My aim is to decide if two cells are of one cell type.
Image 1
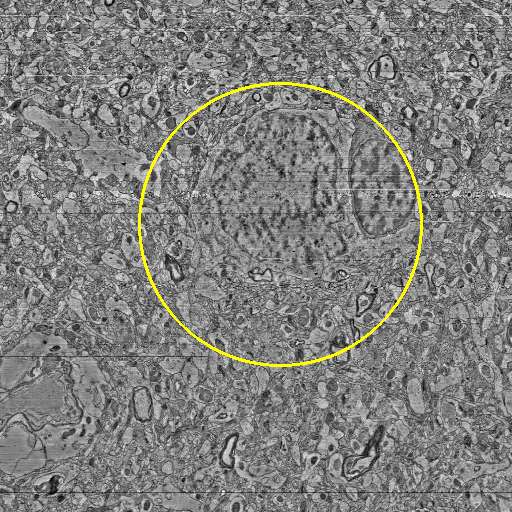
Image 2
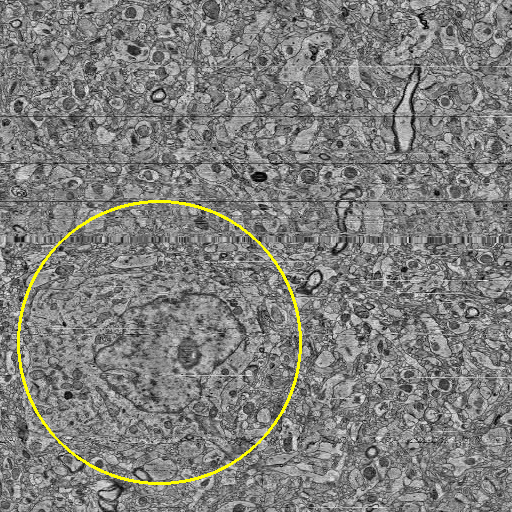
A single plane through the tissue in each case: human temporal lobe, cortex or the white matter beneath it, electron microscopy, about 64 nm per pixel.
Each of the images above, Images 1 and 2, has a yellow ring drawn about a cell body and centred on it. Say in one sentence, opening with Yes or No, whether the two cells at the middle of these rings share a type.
Yes, in Images 1 and 2 the cells at the middle of the rings share one type.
